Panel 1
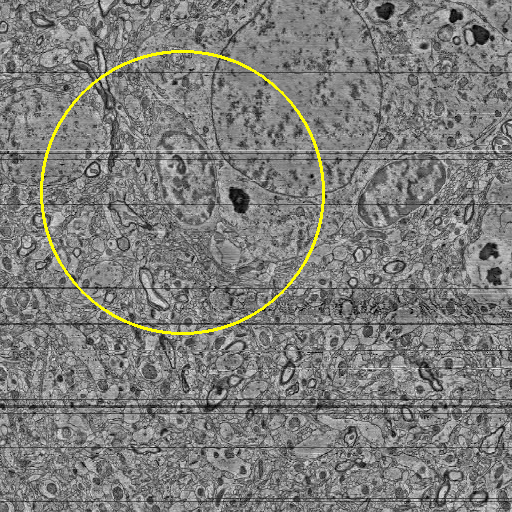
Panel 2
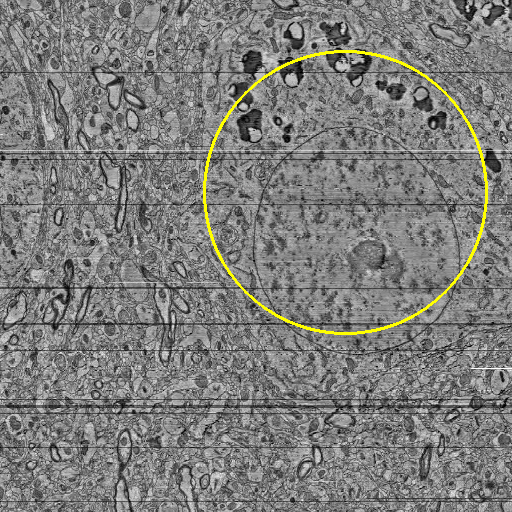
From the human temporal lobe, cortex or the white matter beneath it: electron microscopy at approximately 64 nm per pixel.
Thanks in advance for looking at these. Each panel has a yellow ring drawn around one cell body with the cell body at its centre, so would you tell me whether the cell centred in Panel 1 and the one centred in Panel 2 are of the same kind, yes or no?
no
